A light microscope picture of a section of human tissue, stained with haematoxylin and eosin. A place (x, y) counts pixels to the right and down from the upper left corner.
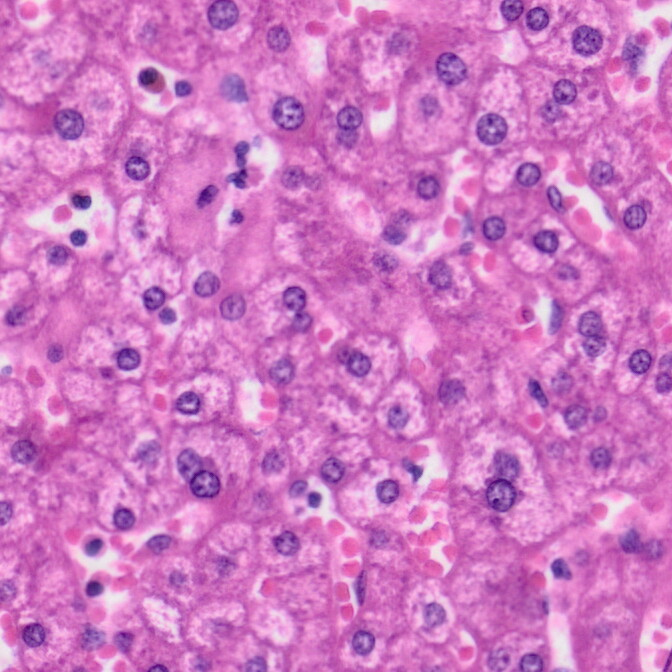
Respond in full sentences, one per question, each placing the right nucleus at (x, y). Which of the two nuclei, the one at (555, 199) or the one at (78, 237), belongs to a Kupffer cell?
At (555, 199) lies the nucleus that belongs to a Kupffer cell.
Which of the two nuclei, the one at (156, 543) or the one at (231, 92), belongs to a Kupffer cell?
Of the two candidate nuclei, the one at (156, 543) is that of a Kupffer cell.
